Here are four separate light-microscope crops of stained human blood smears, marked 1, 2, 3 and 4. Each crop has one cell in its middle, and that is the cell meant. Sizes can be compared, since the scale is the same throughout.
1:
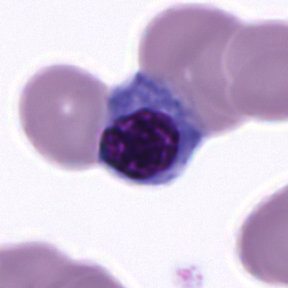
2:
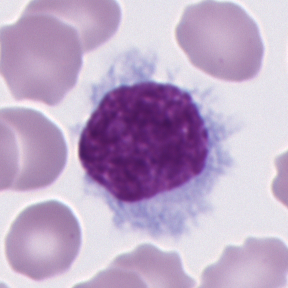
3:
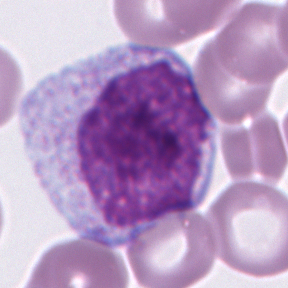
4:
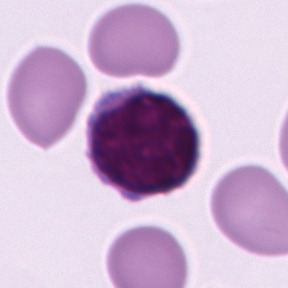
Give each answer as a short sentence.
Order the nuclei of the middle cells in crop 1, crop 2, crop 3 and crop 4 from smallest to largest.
The order is 1, 4, 2, 3, beginning with the smallest.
